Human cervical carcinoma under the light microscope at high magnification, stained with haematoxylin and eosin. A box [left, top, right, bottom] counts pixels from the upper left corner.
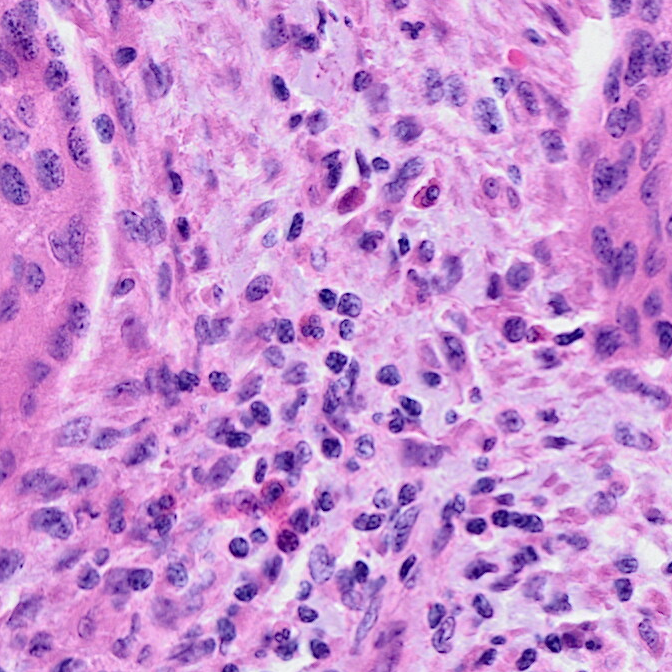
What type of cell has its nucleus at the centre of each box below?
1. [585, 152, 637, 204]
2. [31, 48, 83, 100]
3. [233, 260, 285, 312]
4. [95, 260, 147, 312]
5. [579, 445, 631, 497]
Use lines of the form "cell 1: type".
cell 1: squamous carcinoma cell
cell 2: squamous carcinoma cell
cell 3: macrophage or monocyte
cell 4: macrophage or monocyte
cell 5: fibroblast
